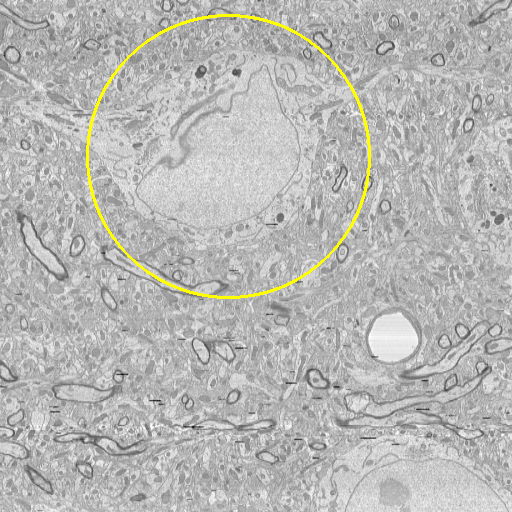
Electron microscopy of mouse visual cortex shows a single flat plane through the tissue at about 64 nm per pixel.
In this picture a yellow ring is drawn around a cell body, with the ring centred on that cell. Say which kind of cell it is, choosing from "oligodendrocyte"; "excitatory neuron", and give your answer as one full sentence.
Here it is an excitatory neuron that sits at the centre of the drawn yellow ring.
